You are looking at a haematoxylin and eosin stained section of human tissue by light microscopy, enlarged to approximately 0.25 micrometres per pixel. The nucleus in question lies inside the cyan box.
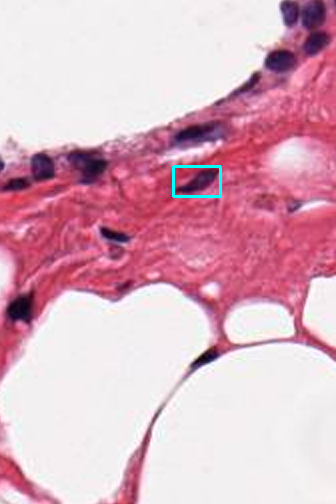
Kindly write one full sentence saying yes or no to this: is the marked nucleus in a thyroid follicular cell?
No, the cell bearing the marked nucleus is not a thyroid follicular cell but a supporting cell.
